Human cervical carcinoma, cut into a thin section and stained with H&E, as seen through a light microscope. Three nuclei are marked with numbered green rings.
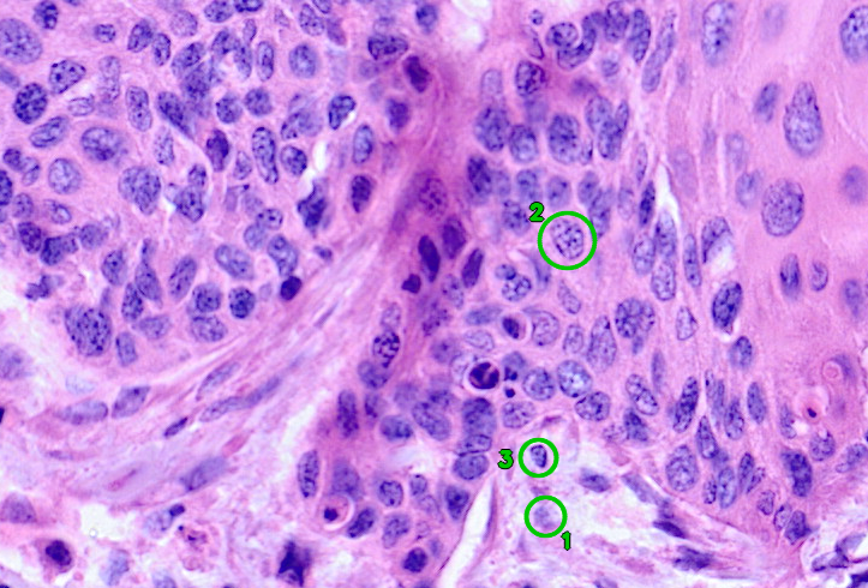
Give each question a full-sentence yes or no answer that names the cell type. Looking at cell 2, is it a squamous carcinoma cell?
Yes, the cell identified by number 2 is a squamous carcinoma cell.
